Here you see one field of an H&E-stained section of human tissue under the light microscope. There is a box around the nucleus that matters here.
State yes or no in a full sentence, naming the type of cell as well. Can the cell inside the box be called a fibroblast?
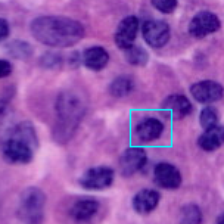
No, the cell inside the box does not represent a fibroblast; it represents a plasma cell.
